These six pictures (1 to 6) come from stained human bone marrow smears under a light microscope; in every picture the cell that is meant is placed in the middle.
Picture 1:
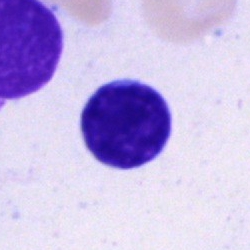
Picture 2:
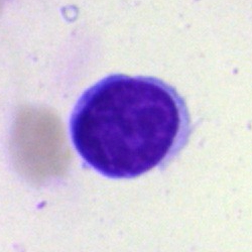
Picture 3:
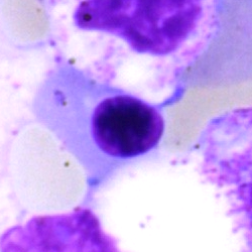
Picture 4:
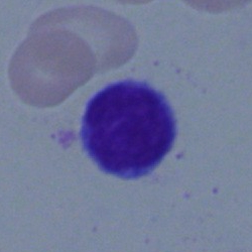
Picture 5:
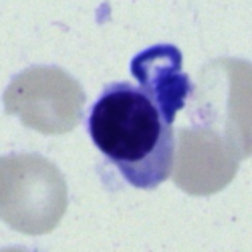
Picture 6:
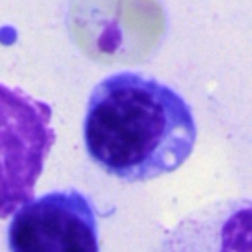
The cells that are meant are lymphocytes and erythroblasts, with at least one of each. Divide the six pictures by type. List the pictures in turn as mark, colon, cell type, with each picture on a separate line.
1: lymphocyte
2: lymphocyte
3: erythroblast
4: lymphocyte
5: erythroblast
6: erythroblast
